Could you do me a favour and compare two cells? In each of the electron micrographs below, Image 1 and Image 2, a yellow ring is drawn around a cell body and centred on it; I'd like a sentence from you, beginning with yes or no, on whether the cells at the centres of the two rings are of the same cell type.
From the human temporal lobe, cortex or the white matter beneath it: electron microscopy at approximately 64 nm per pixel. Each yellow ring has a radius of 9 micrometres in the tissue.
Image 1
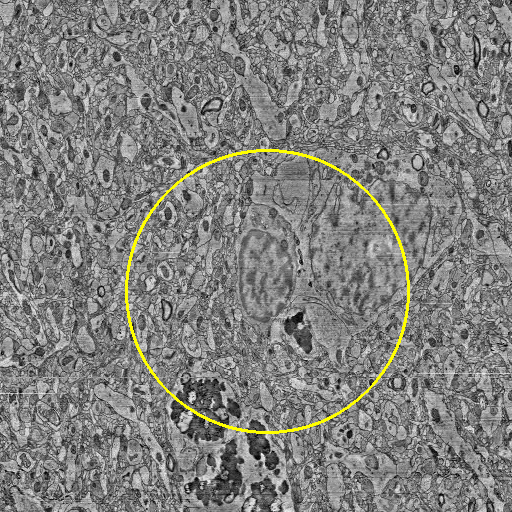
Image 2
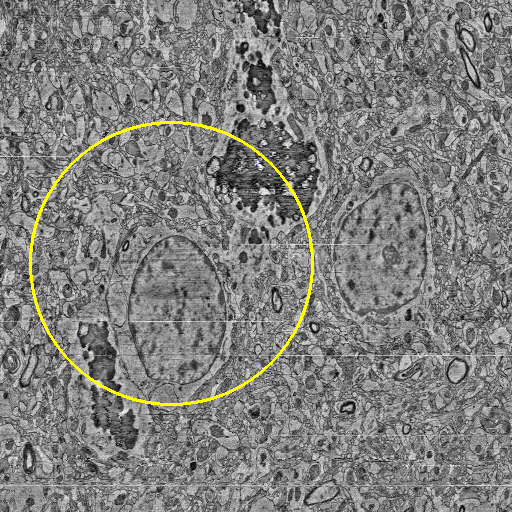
No, the two cells are of two cell types.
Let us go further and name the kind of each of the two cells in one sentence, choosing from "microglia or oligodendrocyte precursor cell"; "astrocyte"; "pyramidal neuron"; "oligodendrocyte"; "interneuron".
The ring of the first picture is on an oligodendrocyte, the ring of the second on an astrocyte.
